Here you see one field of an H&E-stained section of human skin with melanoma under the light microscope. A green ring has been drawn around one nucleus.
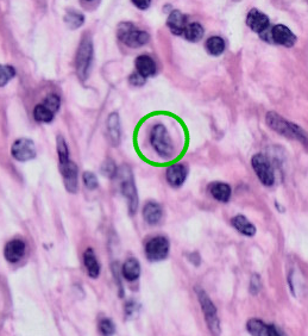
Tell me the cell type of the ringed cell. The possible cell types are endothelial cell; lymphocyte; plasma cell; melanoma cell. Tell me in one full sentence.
In the context of this tissue, the ringed cell is a plasma cell.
